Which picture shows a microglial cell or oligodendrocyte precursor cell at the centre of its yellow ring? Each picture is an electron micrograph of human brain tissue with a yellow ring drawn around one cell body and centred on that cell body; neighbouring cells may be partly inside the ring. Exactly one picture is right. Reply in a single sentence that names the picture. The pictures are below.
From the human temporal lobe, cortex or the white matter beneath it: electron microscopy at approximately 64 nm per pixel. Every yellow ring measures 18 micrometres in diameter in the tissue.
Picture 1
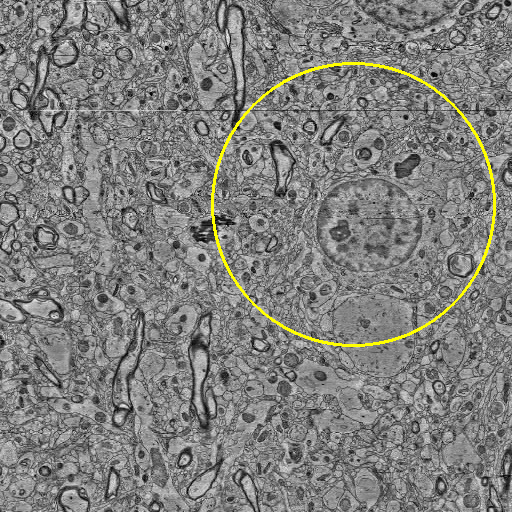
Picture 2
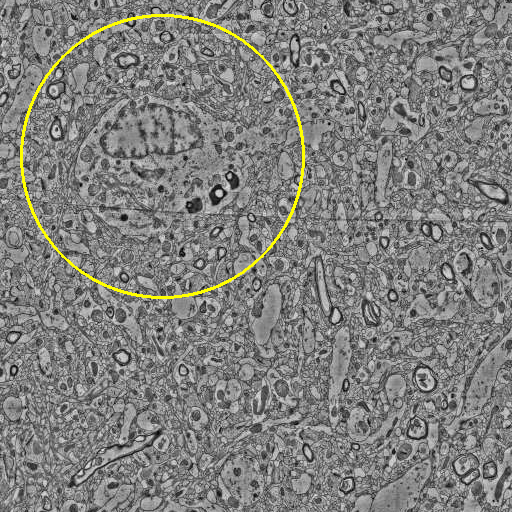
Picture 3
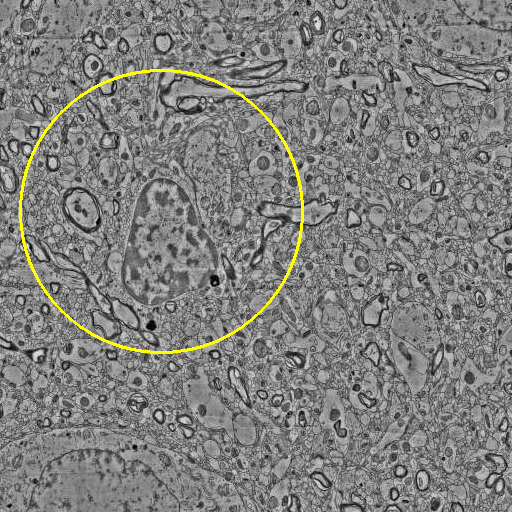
Picture 3 shows it.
